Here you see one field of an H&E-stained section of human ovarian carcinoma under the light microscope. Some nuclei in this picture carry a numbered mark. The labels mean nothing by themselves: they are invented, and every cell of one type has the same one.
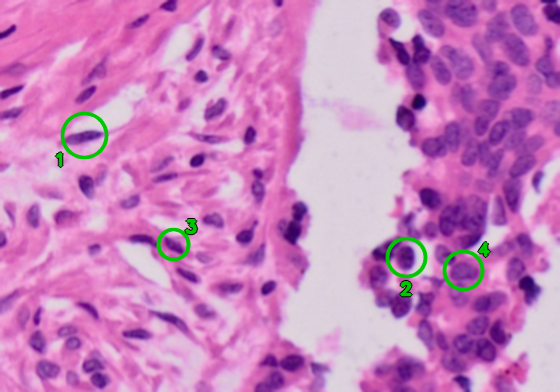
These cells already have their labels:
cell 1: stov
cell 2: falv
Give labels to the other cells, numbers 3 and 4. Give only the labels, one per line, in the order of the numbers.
stov
falv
